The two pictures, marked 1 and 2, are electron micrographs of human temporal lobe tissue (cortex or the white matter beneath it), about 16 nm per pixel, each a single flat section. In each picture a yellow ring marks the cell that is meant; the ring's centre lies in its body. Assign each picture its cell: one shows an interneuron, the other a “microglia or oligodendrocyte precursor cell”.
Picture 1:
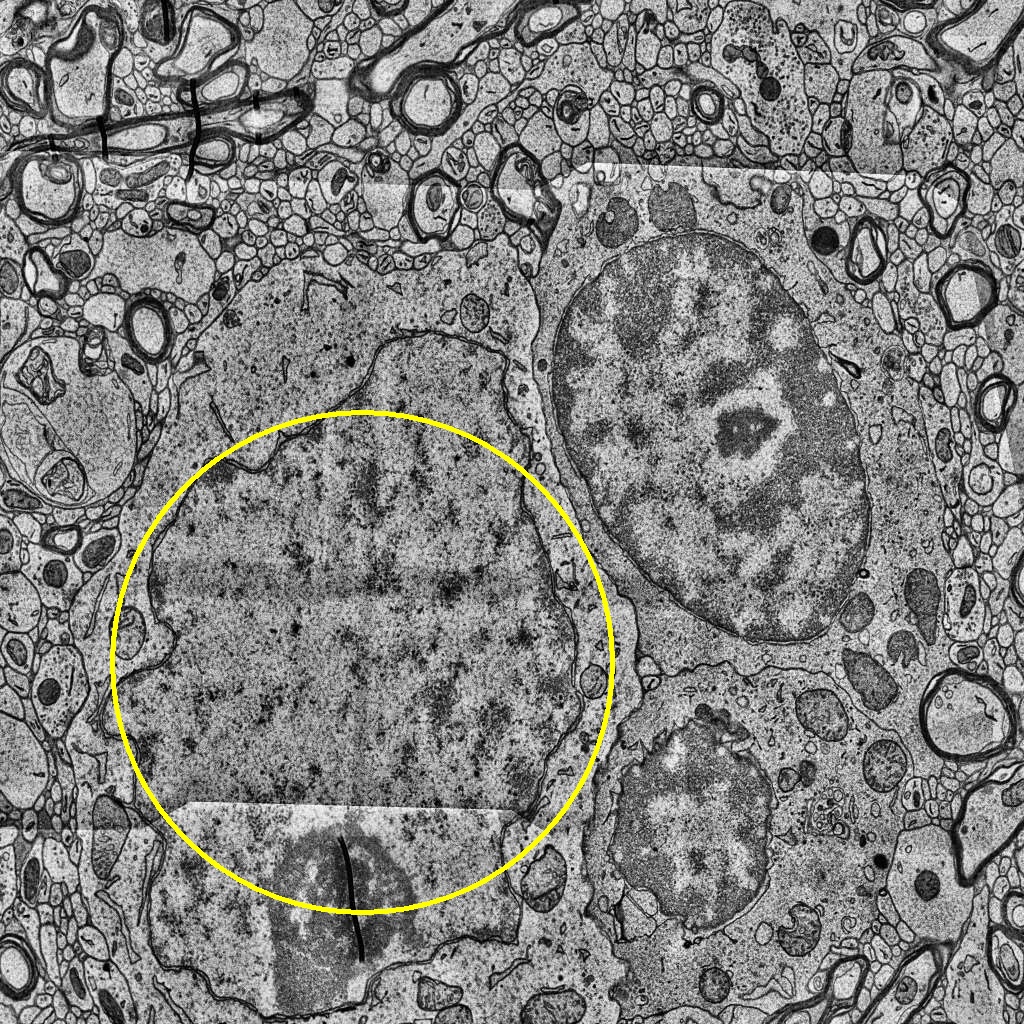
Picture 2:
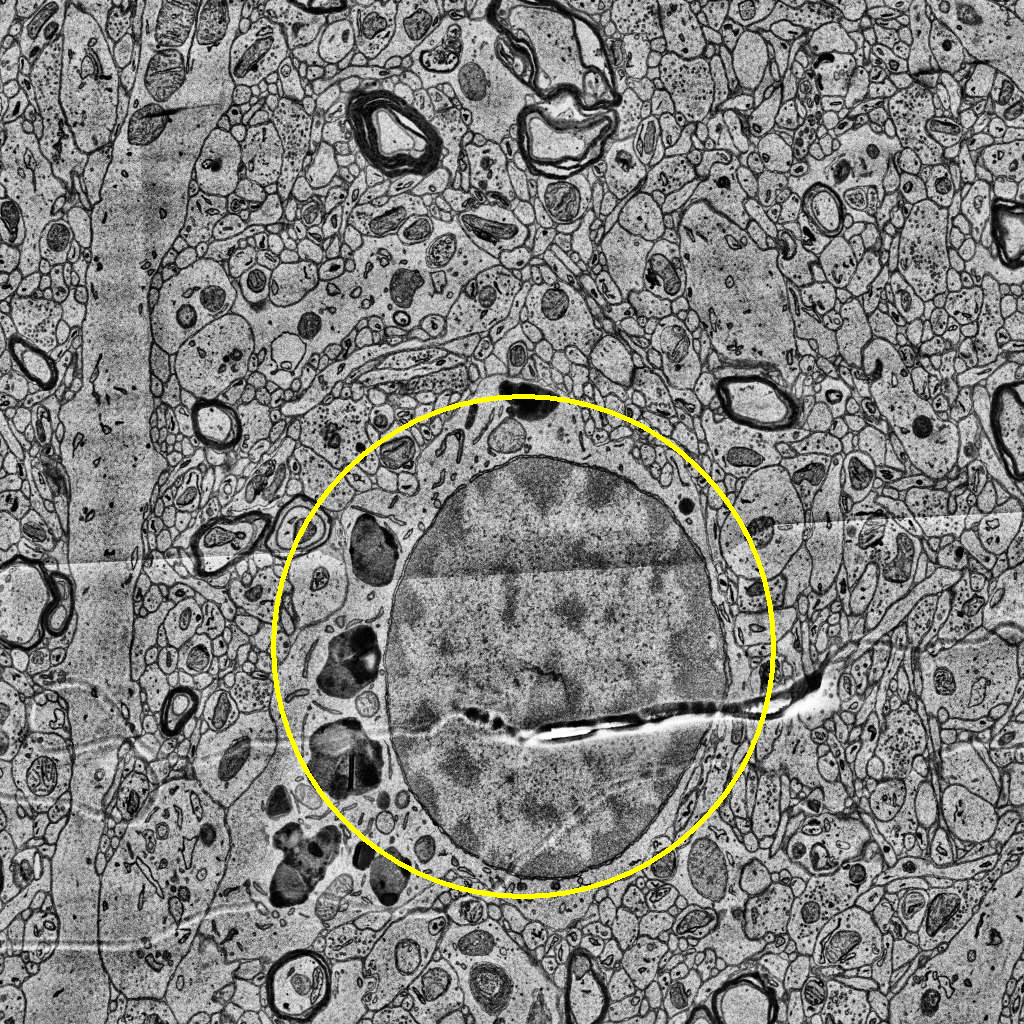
It is picture 1 that shows an interneuron, and picture 2 that shows a “microglia or oligodendrocyte precursor cell”.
